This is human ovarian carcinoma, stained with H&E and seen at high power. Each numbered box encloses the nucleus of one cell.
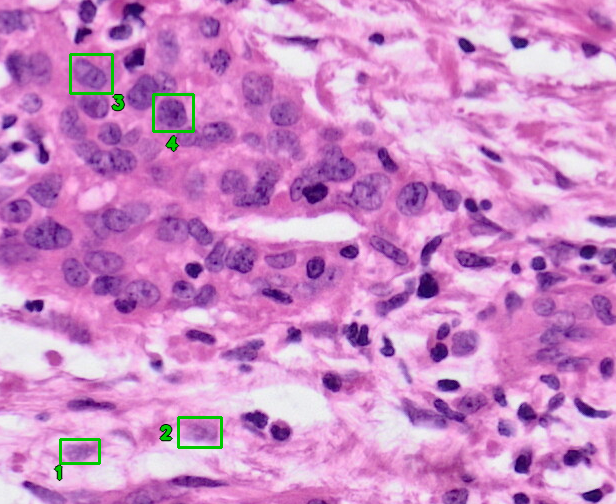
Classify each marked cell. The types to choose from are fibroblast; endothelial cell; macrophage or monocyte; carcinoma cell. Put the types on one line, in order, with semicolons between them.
fibroblast; fibroblast; carcinoma cell; carcinoma cell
